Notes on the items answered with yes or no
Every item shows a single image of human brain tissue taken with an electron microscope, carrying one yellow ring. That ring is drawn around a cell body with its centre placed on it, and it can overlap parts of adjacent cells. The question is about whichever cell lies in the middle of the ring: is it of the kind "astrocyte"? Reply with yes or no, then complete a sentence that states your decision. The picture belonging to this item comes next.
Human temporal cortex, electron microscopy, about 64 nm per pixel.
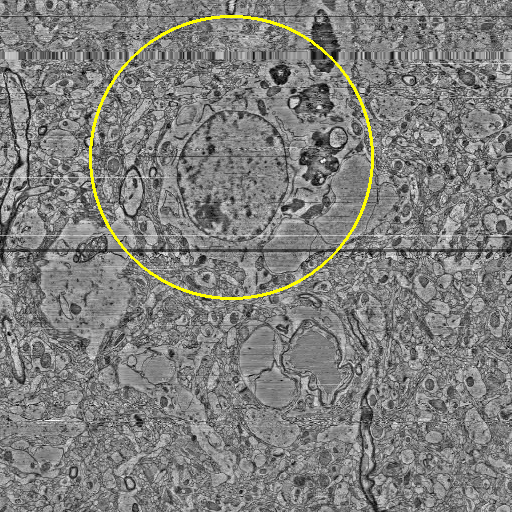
Yes, this micrograph shows a cell of that kind in the middle of the ring.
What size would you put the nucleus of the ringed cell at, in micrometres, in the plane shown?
In this plane, roughly 9 by 7 micrometres.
